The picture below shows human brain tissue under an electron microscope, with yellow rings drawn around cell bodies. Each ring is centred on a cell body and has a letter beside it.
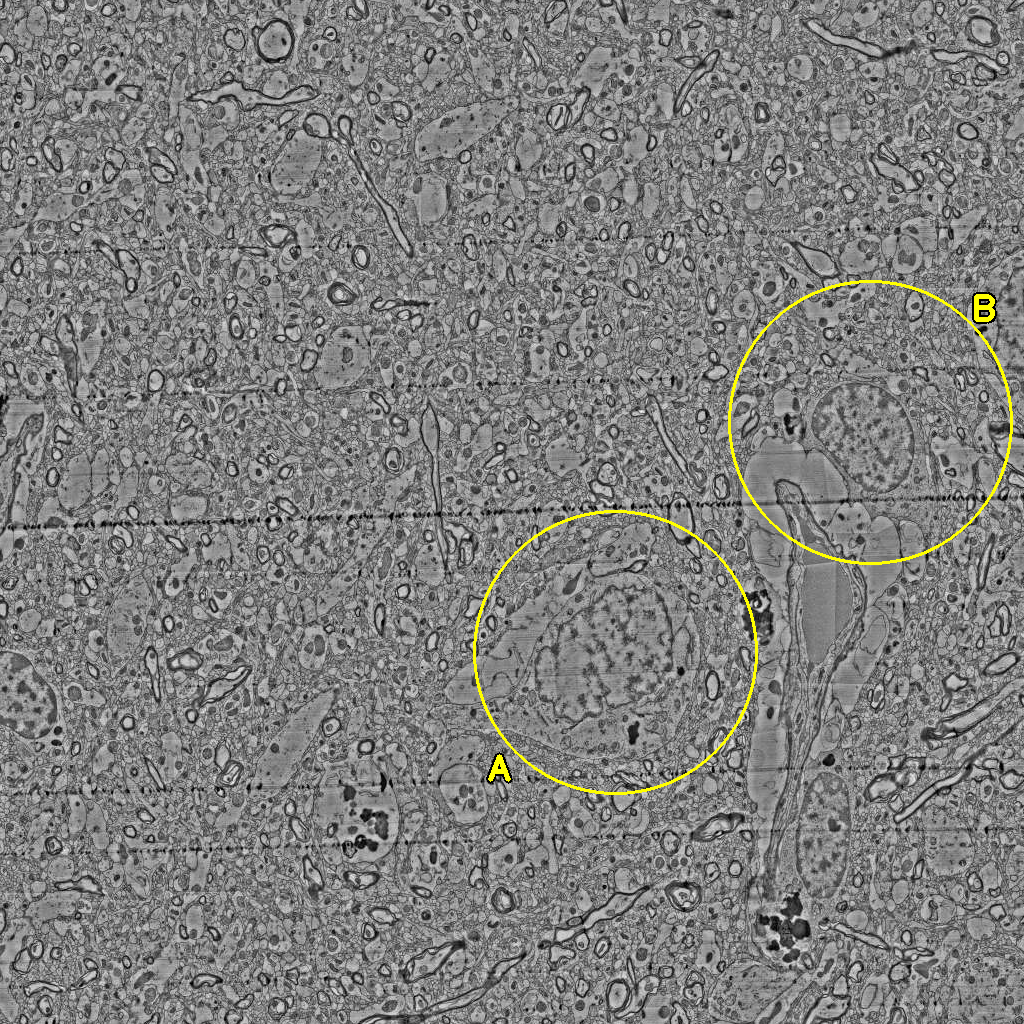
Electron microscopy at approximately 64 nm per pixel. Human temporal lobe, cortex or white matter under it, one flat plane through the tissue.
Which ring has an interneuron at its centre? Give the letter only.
A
